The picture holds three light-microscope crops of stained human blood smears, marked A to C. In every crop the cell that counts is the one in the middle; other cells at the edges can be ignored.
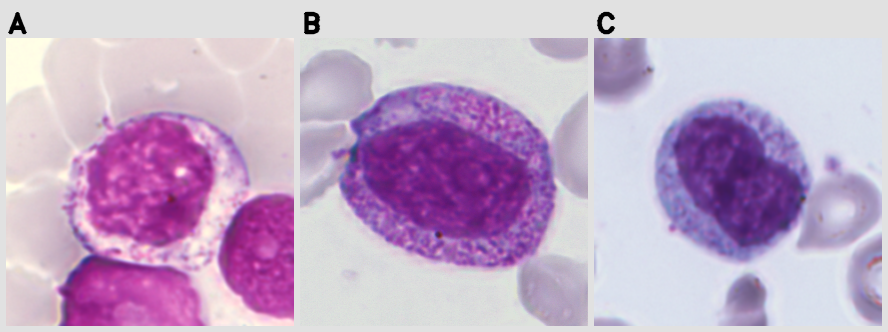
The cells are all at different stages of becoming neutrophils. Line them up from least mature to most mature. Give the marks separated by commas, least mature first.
B, A, C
